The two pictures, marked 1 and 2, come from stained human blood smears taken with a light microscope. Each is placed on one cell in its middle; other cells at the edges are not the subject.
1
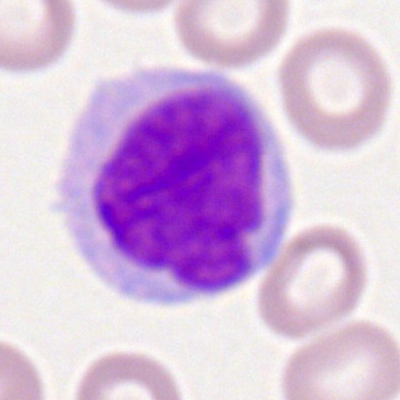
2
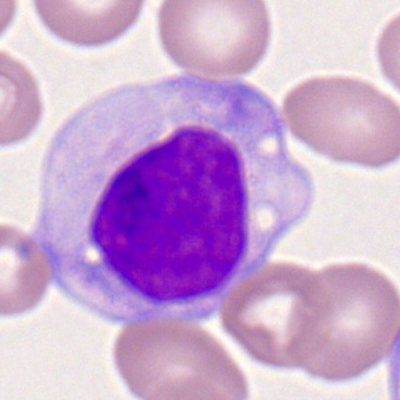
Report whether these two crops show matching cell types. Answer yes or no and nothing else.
yes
